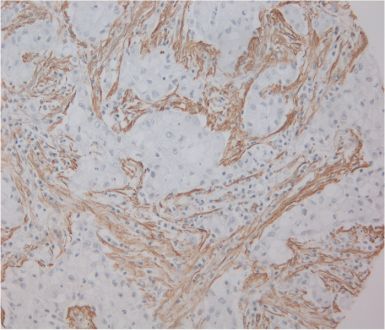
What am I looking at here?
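This tumour core shows irregular islands of pale epithelial cells with round blue nuclei, set within a network of stroma. The stroma between the islands is stained brown along thin, wavy strands and sheets made of elongated spindle cells, forming a web that wraps around each island. The epithelial cells themselves remain unstained, so the brown marks only the fibrous tissue in between. Look at how the stained bands branch and taper, tracing the boundaries of the cell nests across the field.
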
